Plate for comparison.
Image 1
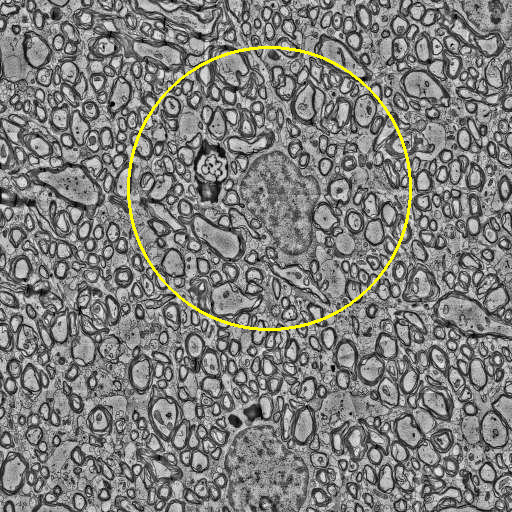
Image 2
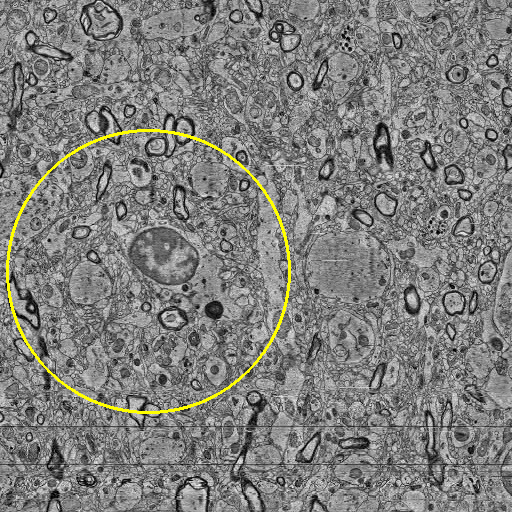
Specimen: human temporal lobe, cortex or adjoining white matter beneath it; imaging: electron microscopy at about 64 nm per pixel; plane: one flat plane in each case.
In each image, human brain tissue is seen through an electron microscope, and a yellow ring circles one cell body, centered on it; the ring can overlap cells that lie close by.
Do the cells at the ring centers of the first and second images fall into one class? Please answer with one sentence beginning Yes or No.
No, the first and second images show two classes of cell at the ring centers.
